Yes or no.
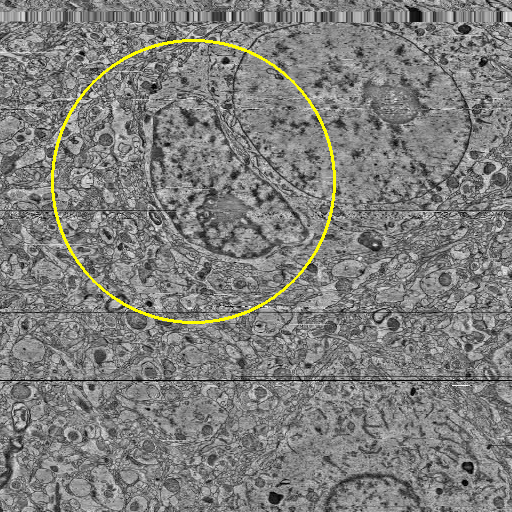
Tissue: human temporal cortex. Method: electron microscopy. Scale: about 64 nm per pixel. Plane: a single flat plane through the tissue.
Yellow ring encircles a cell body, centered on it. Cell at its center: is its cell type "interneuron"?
no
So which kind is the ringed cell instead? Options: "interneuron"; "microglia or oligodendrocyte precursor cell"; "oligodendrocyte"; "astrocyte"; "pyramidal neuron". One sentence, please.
The ringed cell in this picture is, instead, a microglial cell or oligodendrocyte precursor cell.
